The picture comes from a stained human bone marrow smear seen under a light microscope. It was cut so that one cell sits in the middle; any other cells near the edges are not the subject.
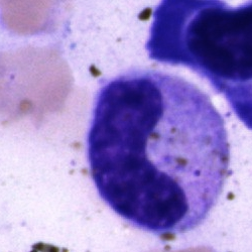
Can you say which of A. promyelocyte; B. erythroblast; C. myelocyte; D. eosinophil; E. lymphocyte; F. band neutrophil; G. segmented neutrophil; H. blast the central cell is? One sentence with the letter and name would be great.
The correct choice is option F, which identifies the middle cell as a band neutrophil.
